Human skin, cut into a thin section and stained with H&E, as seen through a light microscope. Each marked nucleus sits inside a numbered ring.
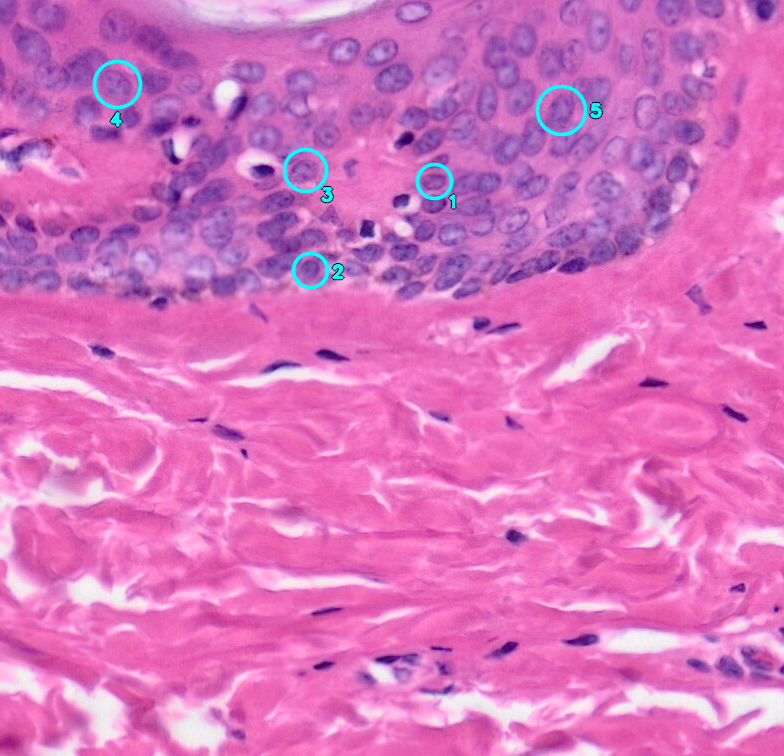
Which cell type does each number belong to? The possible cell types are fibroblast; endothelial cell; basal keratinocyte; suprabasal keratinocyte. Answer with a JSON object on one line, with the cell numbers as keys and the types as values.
{"1": "basal keratinocyte", "2": "basal keratinocyte", "3": "basal keratinocyte", "4": "suprabasal keratinocyte", "5": "suprabasal keratinocyte"}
